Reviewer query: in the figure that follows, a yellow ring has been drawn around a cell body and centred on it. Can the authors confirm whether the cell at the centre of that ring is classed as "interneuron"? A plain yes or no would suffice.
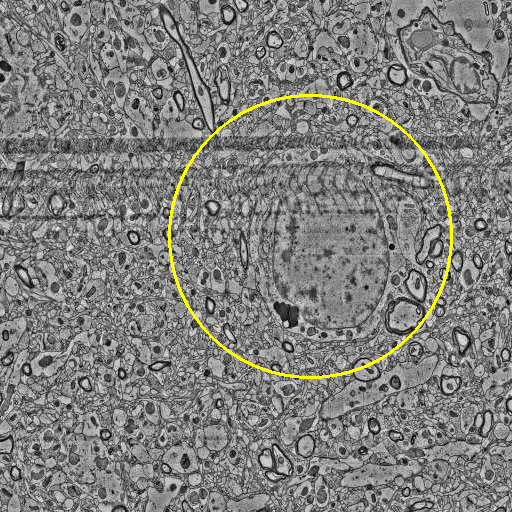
yes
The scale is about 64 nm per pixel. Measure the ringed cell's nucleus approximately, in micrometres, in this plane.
Approximately 11 x 8 micrometres in this plane.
